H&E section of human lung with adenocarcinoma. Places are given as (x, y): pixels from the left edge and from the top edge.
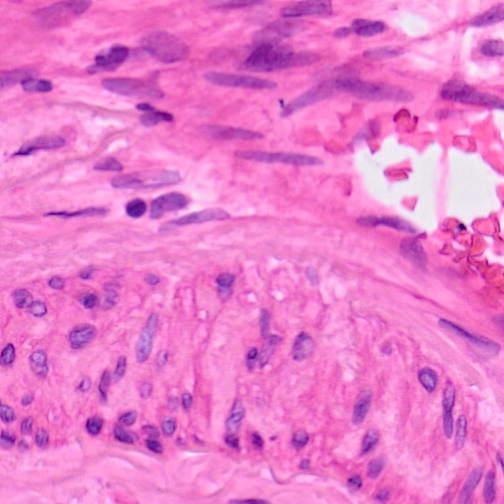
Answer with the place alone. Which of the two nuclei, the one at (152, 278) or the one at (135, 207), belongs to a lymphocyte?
(135, 207)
